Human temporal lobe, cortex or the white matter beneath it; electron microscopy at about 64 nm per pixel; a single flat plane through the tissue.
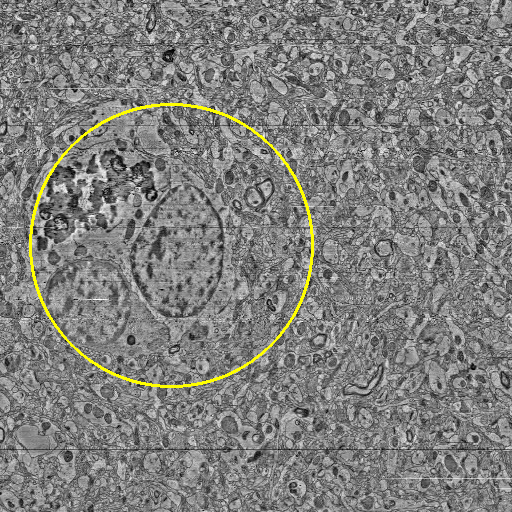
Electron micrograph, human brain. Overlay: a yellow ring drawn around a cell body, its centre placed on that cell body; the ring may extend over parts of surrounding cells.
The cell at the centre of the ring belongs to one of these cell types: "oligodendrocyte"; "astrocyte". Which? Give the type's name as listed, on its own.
astrocyte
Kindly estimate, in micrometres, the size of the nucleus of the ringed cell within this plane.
The nucleus appears roughly 9 by 6 micrometres in this plane.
